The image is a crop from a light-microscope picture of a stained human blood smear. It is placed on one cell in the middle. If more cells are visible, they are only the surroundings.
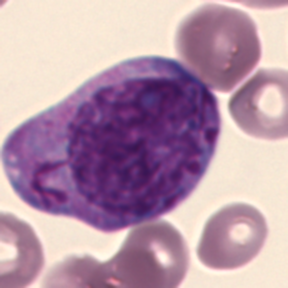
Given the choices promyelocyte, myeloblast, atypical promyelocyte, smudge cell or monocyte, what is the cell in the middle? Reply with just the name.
atypical promyelocyte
